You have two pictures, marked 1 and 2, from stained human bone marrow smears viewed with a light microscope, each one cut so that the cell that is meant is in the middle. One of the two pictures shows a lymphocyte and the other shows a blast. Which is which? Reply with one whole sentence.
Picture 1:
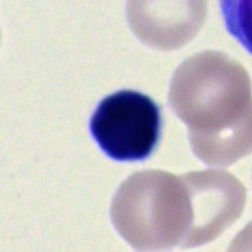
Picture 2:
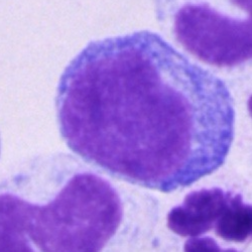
Picture 1 is of a lymphocyte, and picture 2 is of a blast.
